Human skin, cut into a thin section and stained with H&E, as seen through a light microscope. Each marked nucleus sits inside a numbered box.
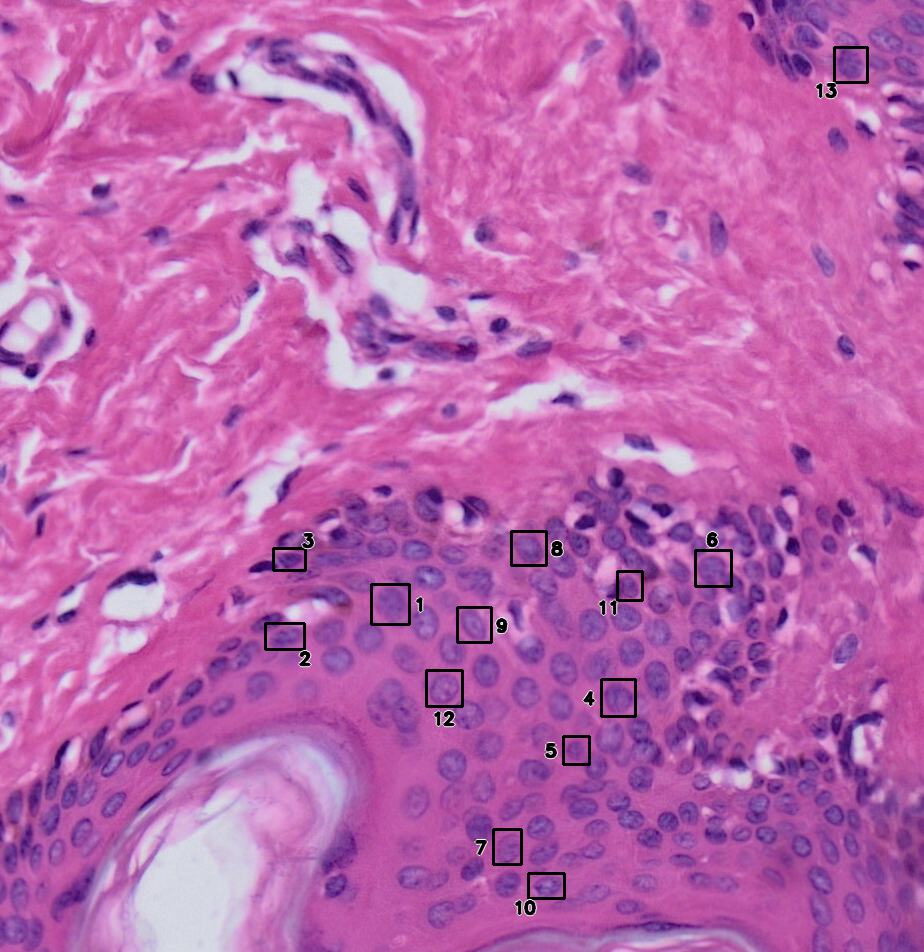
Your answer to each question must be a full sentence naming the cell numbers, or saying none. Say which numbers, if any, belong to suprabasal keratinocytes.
In short, the numbered cells 1, 4, 5, 7, 9, 10 and 12 are suprabasal keratinocytes.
